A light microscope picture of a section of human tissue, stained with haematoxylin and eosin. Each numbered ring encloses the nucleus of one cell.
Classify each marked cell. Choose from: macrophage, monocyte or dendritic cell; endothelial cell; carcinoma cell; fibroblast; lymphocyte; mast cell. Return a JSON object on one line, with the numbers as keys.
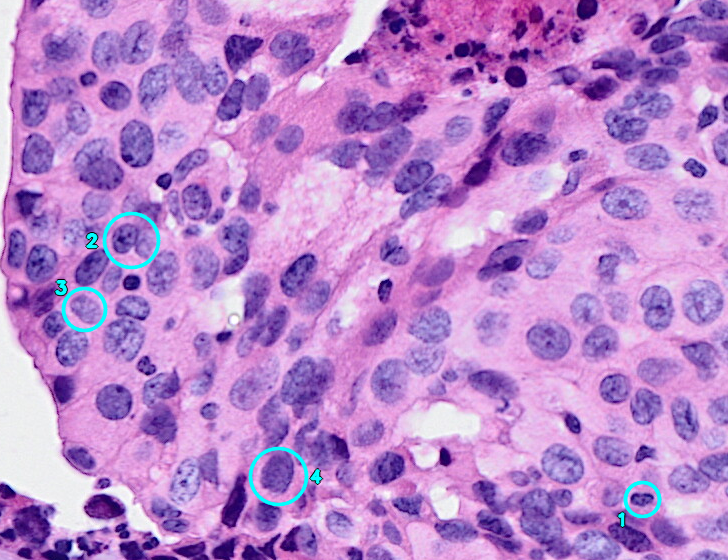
{"1": "lymphocyte", "2": "carcinoma cell", "3": "carcinoma cell", "4": "carcinoma cell"}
